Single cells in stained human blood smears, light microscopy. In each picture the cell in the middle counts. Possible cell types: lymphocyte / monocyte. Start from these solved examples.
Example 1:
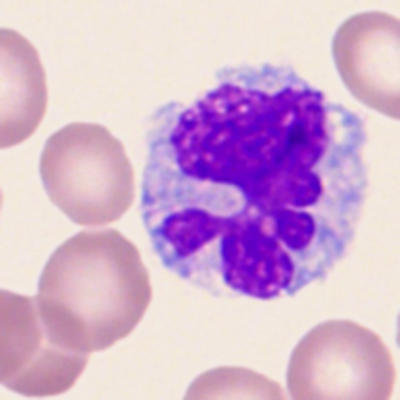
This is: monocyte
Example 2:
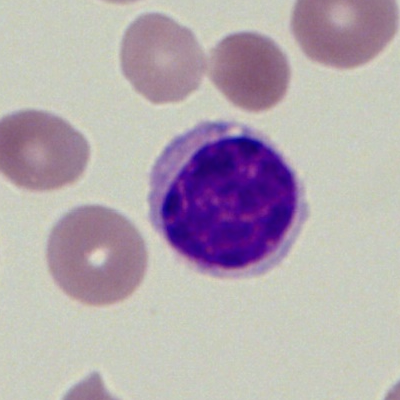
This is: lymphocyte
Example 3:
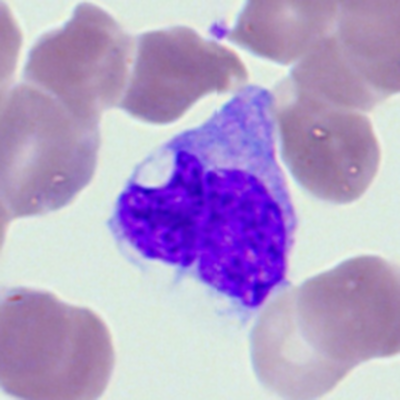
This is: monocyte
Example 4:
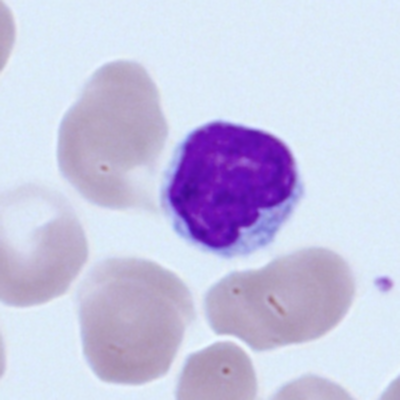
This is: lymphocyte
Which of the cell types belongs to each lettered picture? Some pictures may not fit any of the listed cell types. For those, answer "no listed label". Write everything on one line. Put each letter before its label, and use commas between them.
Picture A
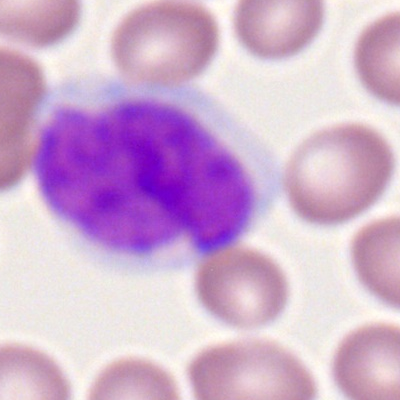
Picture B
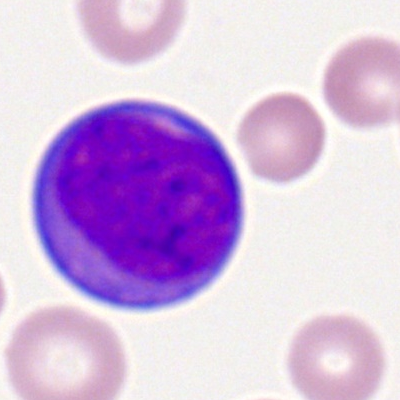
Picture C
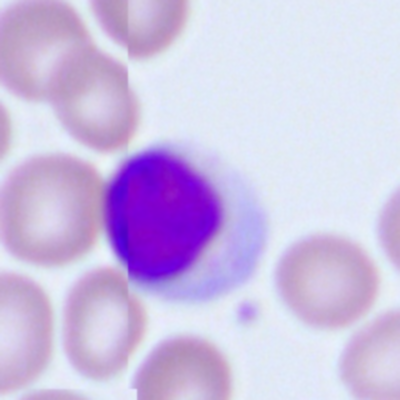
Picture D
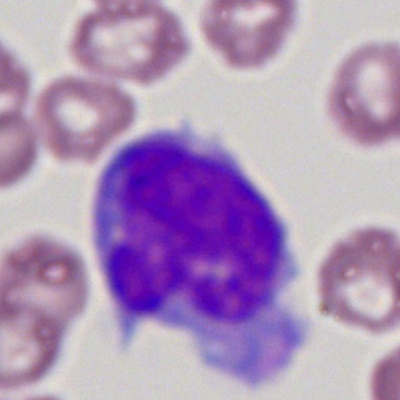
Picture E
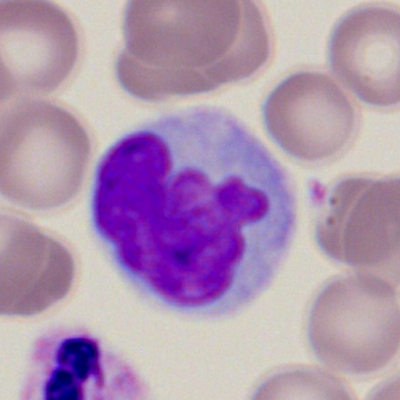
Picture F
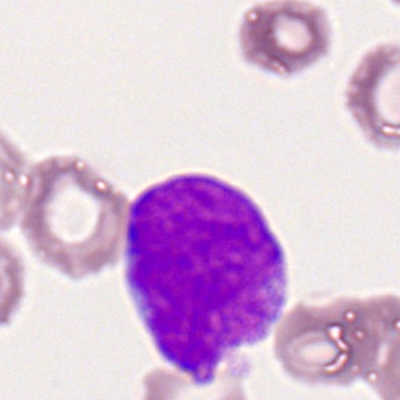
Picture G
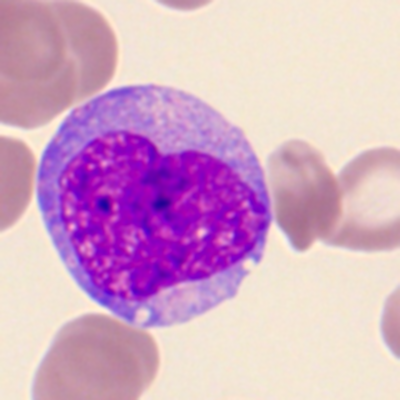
A monocyte, B no listed label, C lymphocyte, D monocyte, E monocyte, F no listed label, G monocyte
